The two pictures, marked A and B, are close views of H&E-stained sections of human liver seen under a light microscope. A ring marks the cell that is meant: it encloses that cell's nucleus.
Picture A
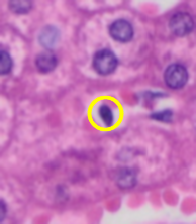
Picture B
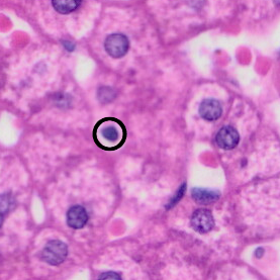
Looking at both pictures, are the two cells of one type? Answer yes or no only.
yes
